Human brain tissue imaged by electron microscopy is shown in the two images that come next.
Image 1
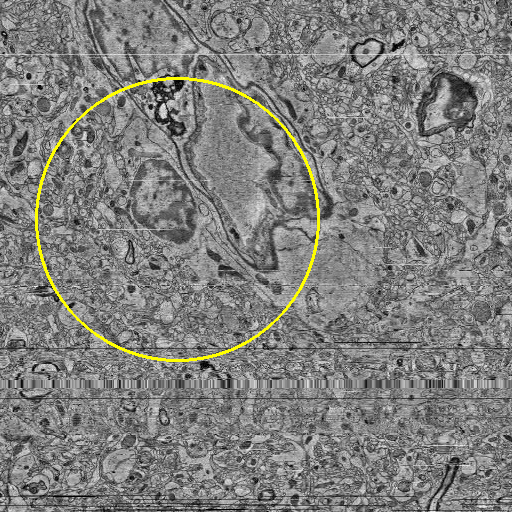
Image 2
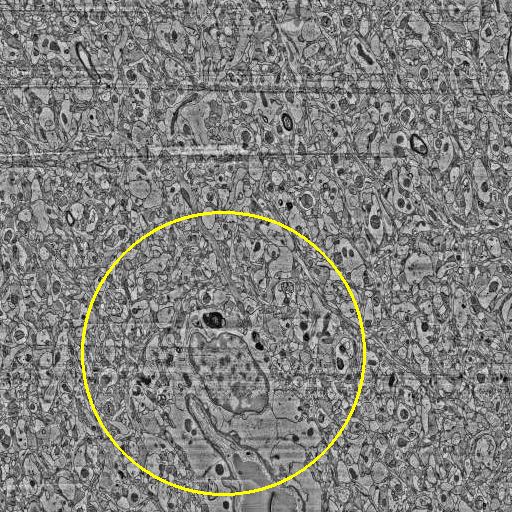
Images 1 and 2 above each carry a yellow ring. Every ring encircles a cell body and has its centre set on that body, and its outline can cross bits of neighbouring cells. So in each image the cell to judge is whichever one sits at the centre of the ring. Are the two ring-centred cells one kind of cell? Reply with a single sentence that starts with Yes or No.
Yes, in Image 1 and Image 2 the cells at the centres of their rings fall into one type.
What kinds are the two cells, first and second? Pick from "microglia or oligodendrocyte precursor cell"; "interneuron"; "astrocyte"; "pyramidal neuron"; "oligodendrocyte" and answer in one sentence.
In each picture the ringed cell is a microglial cell or oligodendrocyte precursor cell.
